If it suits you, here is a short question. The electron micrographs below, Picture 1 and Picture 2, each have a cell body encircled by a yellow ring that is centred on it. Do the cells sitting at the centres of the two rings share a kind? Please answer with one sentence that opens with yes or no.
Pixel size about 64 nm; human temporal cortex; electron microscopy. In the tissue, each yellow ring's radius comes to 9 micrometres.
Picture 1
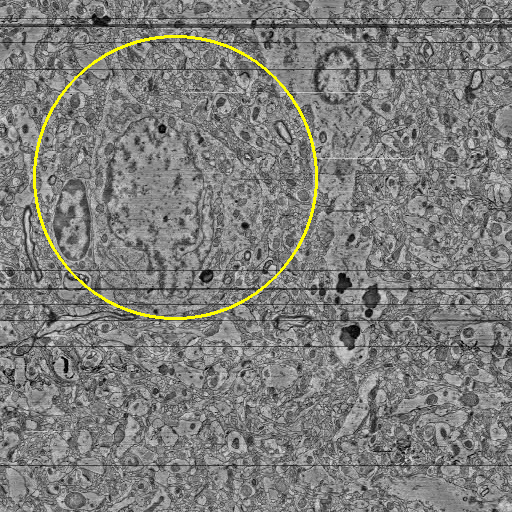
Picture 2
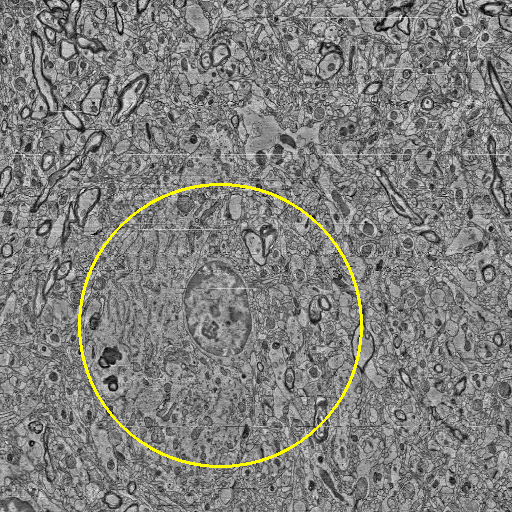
No, the two cells sitting at the ring centres fall into two kinds.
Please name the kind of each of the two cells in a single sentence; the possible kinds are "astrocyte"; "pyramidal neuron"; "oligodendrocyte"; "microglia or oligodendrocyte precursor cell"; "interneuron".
In the first picture the ring is centred on an interneuron, and in the second on an oligodendrocyte.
